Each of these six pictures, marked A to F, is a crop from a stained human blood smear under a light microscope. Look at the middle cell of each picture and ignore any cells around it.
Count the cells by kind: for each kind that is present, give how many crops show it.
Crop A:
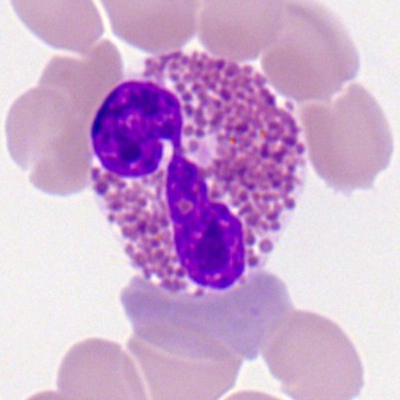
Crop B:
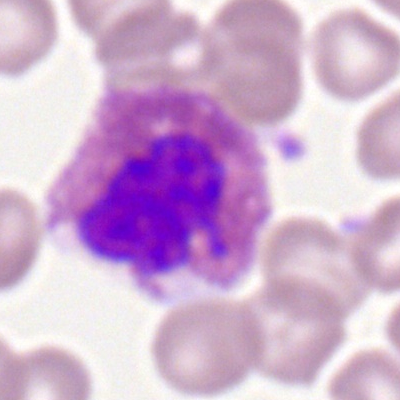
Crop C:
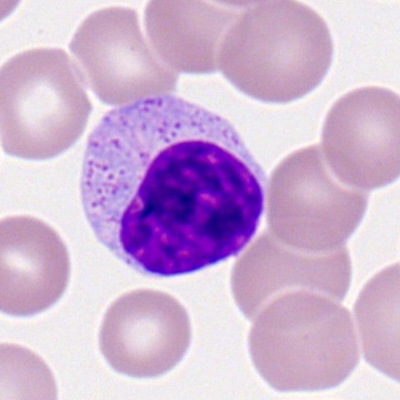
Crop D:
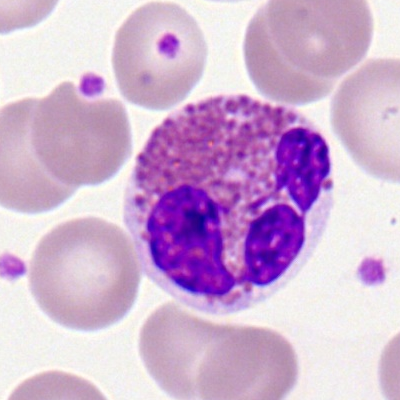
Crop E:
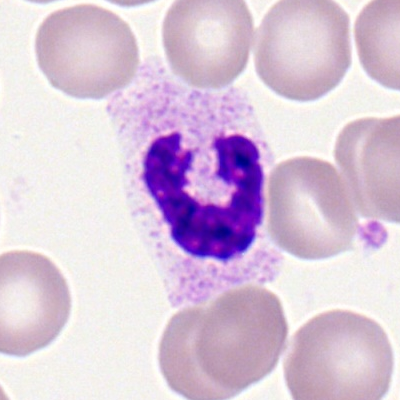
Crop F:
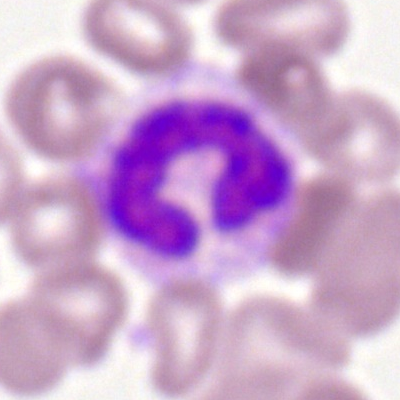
eosinophil: 3
band neutrophil: 2
lymphocyte: 1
